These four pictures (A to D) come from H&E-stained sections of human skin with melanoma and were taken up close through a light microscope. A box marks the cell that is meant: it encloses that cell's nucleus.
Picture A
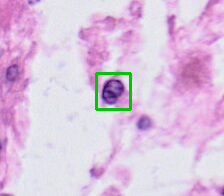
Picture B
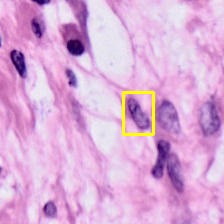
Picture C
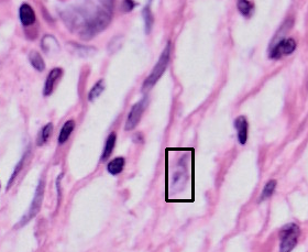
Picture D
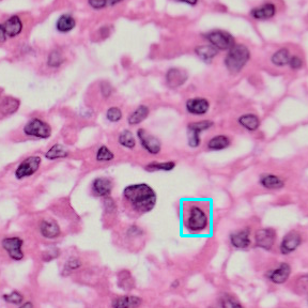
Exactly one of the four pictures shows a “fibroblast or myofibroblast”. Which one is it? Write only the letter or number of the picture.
C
